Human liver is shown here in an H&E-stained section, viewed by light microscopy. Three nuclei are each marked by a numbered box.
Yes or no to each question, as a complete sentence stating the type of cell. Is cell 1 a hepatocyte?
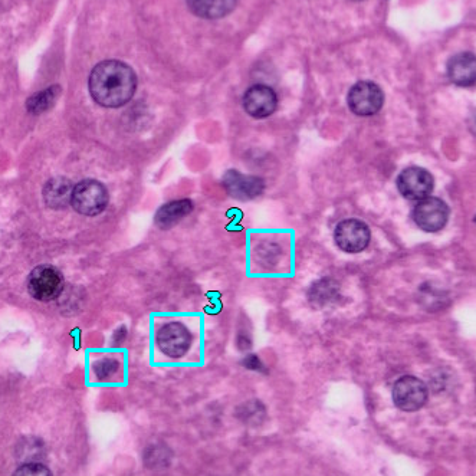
No, the cell at marker 1 is not a hepatocyte; it is a lymphocyte.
